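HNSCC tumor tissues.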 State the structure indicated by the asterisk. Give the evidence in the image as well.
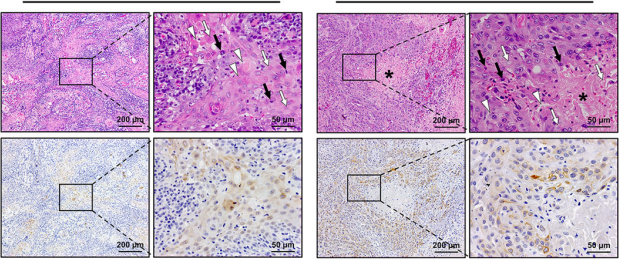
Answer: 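The asterisk lies in a pink, amorphous area. This area has few intact nuclei.
Hence: coagulative necrotic debris.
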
